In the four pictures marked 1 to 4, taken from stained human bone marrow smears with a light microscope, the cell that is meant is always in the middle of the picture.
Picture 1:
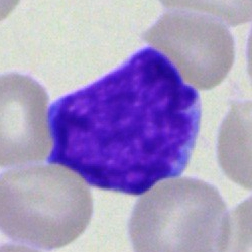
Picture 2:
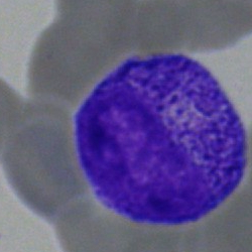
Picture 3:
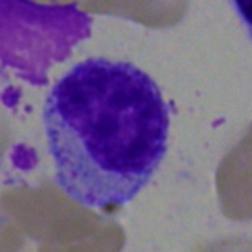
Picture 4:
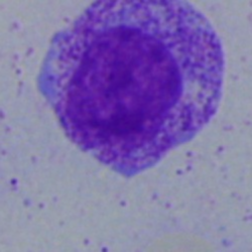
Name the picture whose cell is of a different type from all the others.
1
